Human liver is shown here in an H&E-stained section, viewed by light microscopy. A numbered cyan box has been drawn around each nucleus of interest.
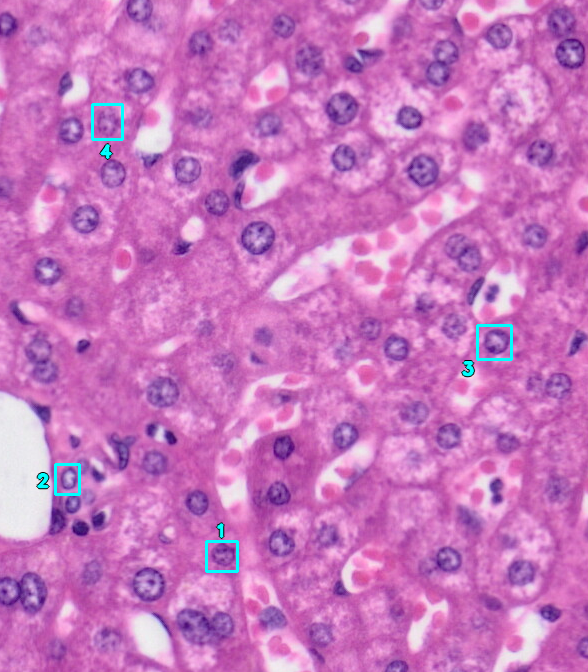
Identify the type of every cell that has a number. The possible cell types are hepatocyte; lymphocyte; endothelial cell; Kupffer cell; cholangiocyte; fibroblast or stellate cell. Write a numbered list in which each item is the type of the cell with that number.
1. hepatocyte
2. cholangiocyte
3. hepatocyte
4. hepatocyte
